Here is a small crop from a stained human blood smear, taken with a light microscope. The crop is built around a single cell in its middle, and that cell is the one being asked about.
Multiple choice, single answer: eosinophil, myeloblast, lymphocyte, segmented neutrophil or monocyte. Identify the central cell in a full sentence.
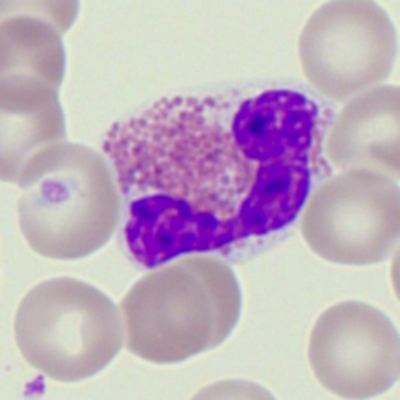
In this crop, the cell at the very middle is an eosinophil.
